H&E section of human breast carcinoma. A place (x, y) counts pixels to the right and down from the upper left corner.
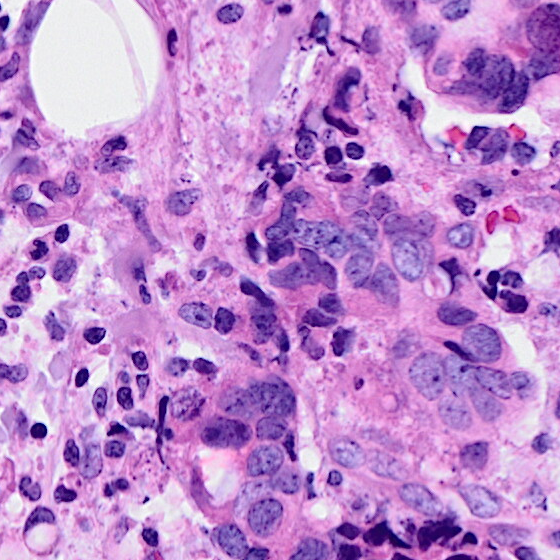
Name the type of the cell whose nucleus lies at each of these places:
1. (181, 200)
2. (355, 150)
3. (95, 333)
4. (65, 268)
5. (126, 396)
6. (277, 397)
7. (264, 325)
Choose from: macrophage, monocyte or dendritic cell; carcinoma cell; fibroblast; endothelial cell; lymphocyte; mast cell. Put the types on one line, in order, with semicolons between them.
macrophage, monocyte or dendritic cell; lymphocyte; lymphocyte; macrophage, monocyte or dendritic cell; lymphocyte; carcinoma cell; carcinoma cell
